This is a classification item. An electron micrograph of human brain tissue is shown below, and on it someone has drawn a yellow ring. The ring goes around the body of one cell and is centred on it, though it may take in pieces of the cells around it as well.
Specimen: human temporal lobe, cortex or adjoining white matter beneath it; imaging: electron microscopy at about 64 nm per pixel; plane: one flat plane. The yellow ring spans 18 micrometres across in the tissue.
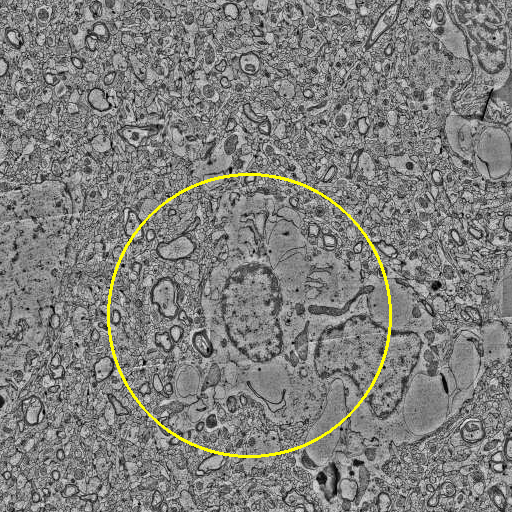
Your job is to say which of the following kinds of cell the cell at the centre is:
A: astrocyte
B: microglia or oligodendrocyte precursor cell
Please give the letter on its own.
A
